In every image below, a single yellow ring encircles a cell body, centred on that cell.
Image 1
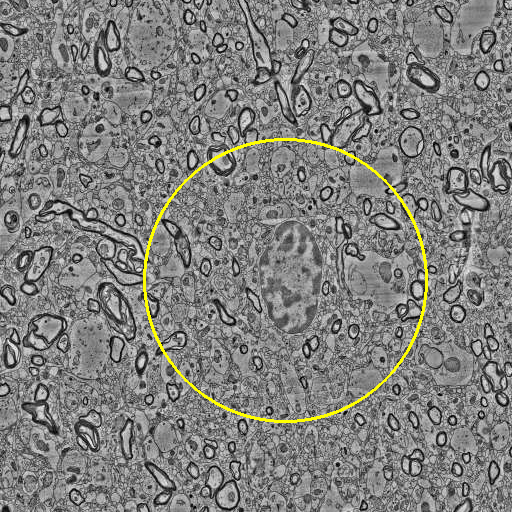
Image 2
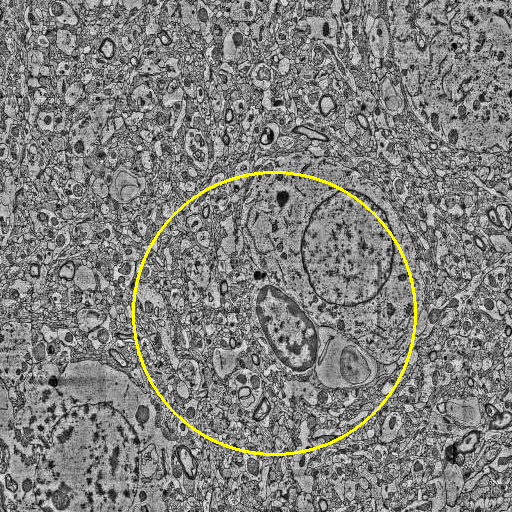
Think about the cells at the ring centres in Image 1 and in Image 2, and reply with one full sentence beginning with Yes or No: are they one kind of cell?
Yes, the cells centred in the rings of Image 1 and Image 2 are one kind of cell.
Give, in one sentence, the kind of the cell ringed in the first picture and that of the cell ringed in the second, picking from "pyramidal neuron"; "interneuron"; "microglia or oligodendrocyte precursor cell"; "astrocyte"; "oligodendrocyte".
Each one of the two ringed cells is a microglial cell or oligodendrocyte precursor cell.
